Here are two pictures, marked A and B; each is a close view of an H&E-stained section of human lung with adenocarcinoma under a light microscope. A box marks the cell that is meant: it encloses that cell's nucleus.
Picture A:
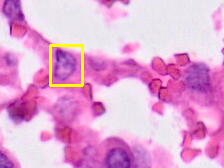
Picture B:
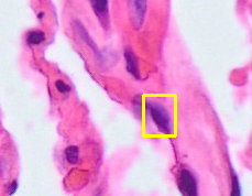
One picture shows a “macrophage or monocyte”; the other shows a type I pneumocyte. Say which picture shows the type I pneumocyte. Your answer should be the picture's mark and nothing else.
B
